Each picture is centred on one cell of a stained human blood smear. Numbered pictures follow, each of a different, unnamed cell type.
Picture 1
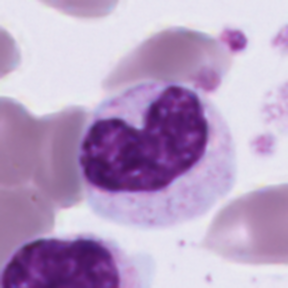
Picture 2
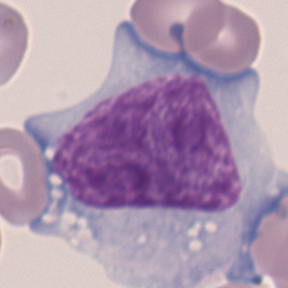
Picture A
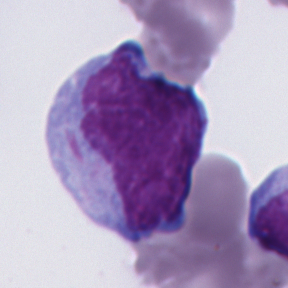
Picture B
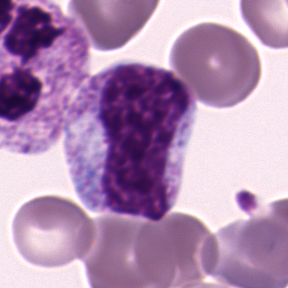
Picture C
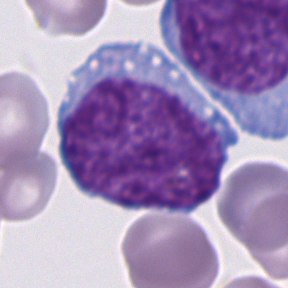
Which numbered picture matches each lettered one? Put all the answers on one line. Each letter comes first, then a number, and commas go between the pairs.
A 2, B 1, C 2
